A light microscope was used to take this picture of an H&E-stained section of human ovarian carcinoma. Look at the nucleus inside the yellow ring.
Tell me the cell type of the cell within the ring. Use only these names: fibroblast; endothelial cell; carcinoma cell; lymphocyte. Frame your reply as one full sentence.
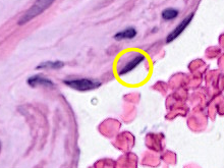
Placed in its cell category, the cell within the ring is an endothelial cell.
